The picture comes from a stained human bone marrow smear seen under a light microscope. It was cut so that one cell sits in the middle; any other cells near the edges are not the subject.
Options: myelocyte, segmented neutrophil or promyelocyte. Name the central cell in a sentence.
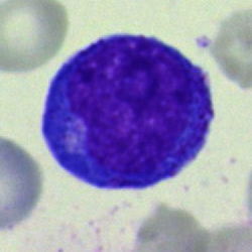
The cell occupying the middle of the crop is a promyelocyte.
